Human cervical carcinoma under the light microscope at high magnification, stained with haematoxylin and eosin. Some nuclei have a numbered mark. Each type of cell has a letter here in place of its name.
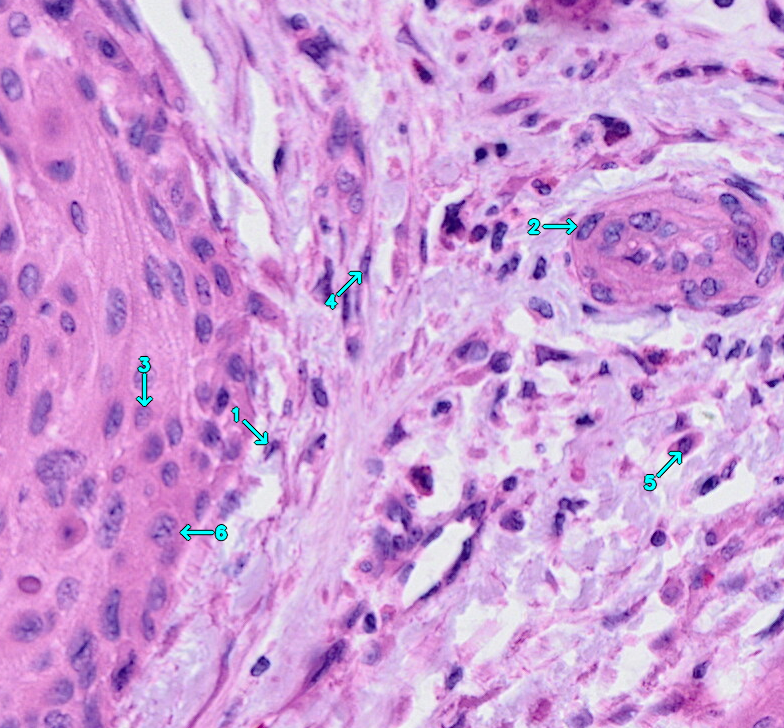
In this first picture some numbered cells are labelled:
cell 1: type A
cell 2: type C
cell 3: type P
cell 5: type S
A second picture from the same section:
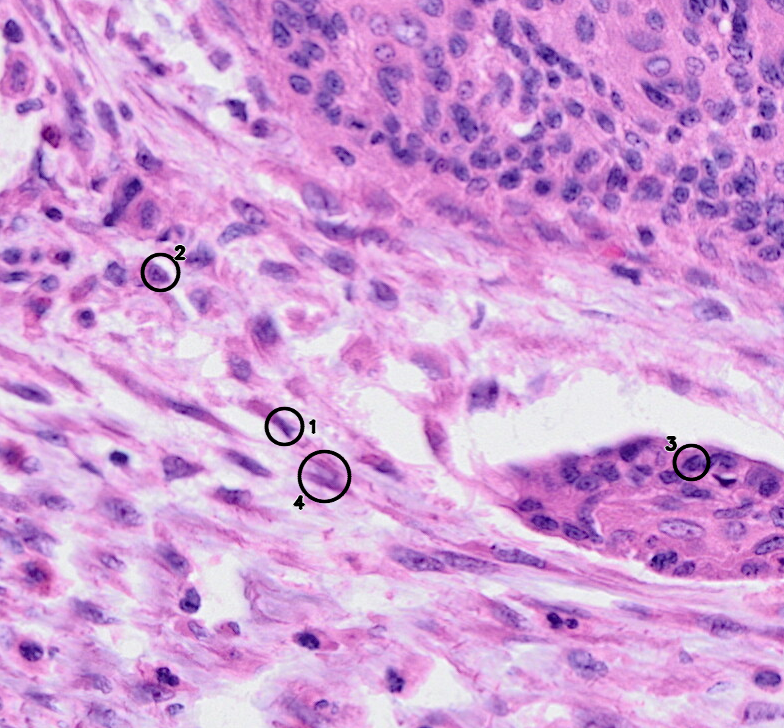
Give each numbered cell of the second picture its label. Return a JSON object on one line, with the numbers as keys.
{"1": "type A", "2": "type S", "3": "type P", "4": "type A"}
